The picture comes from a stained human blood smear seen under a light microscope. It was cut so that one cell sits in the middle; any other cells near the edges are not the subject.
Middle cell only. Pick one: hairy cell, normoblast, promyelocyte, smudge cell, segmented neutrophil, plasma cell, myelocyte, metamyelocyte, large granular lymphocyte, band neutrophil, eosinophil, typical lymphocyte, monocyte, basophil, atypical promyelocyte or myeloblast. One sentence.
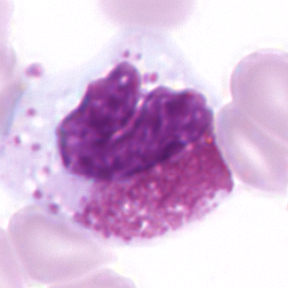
Positioned in the middle of the crop is an eosinophil.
